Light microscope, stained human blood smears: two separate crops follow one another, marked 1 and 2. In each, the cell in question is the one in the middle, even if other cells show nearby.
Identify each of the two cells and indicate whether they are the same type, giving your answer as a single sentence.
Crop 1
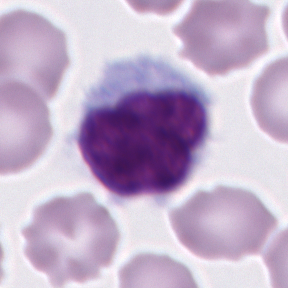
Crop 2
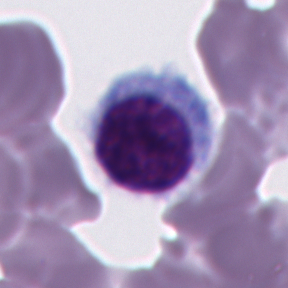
Yes, the two crops are alike in showing hairy cells.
